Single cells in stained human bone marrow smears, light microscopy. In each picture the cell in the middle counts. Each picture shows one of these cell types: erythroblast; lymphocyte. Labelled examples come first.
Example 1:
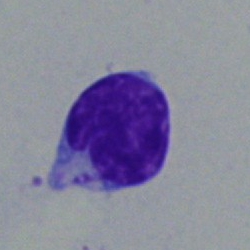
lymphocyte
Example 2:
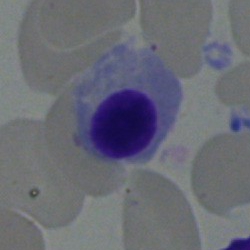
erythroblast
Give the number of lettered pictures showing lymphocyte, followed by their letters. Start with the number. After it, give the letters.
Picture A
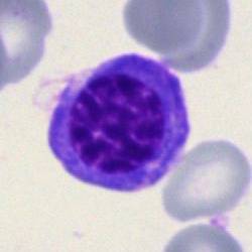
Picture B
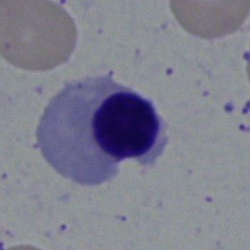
0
